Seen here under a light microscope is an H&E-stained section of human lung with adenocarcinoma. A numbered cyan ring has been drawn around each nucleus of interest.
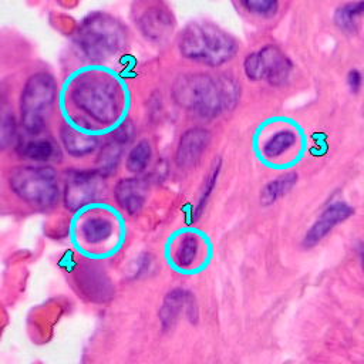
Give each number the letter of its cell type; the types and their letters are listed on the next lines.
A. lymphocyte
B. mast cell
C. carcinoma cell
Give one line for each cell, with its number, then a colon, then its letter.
1: B
2: C
3: A
4: A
